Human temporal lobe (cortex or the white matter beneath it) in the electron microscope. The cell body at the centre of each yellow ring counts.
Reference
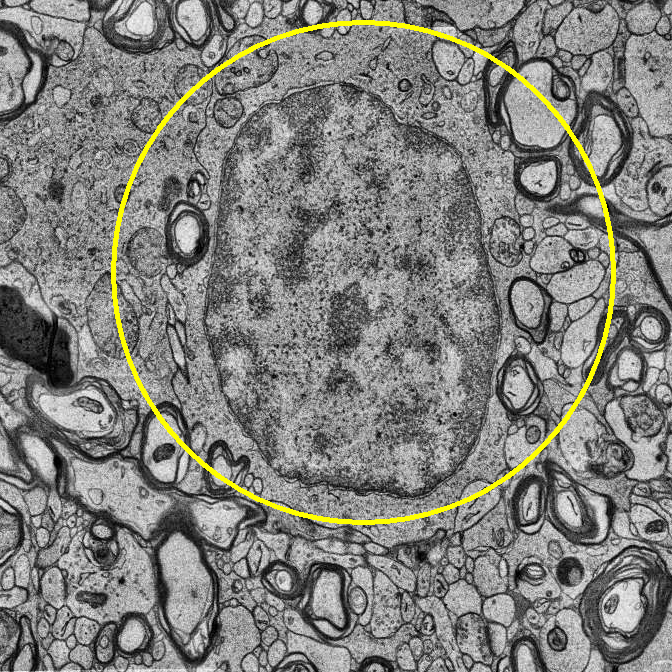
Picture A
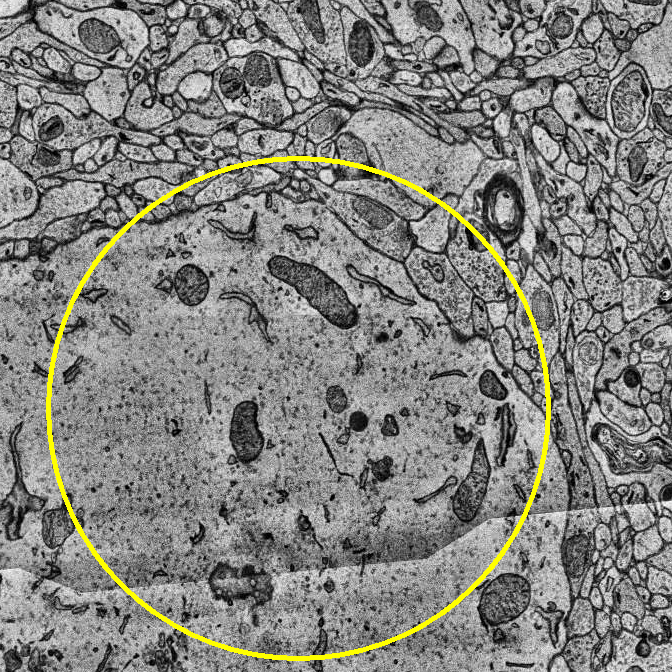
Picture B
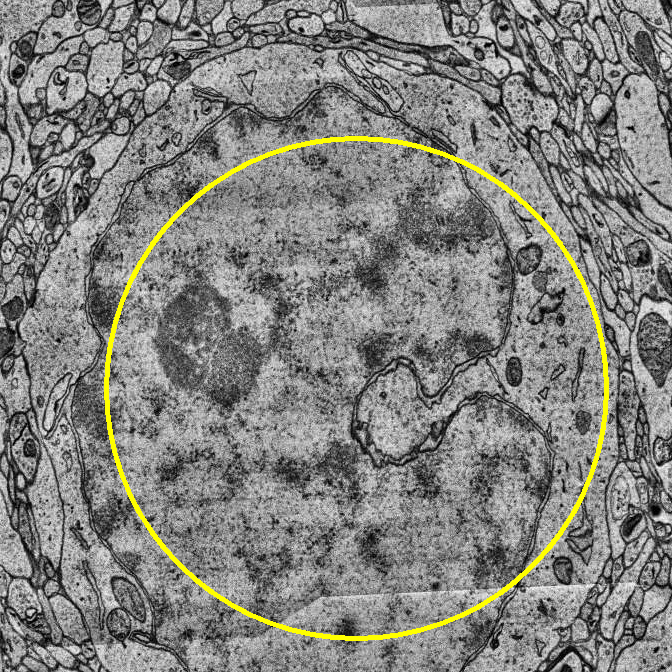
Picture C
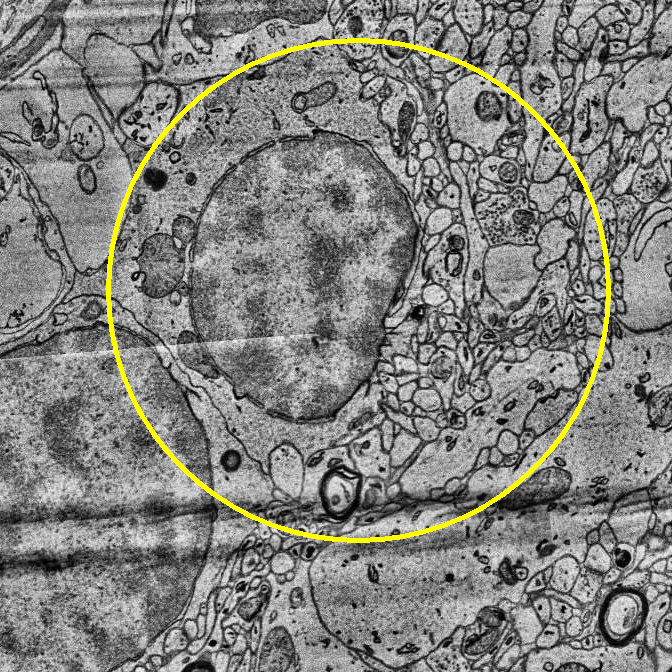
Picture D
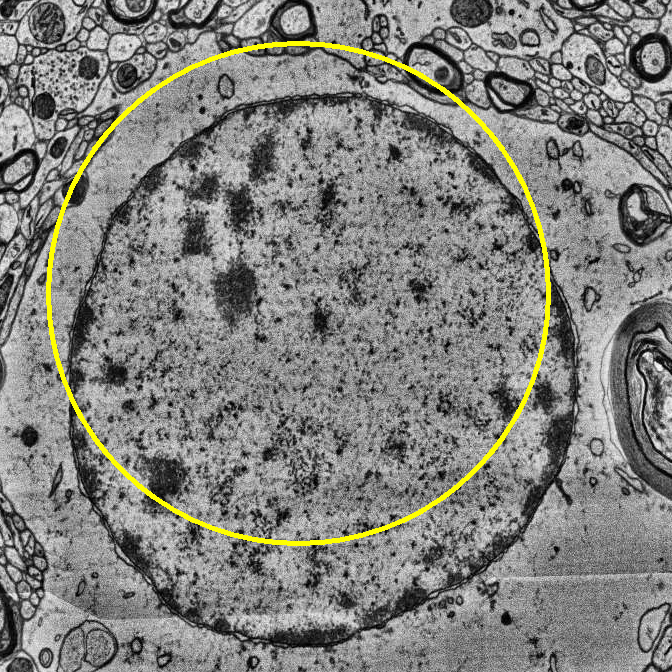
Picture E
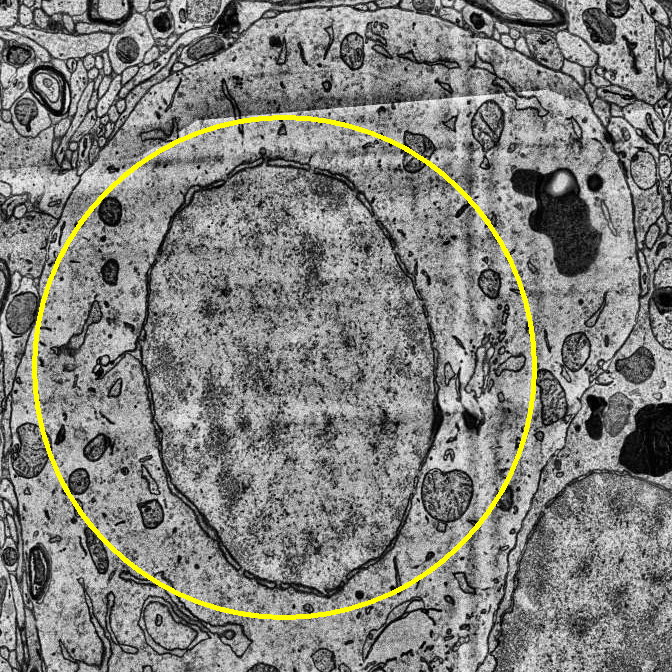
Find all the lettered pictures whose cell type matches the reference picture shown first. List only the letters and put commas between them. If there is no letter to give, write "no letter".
C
